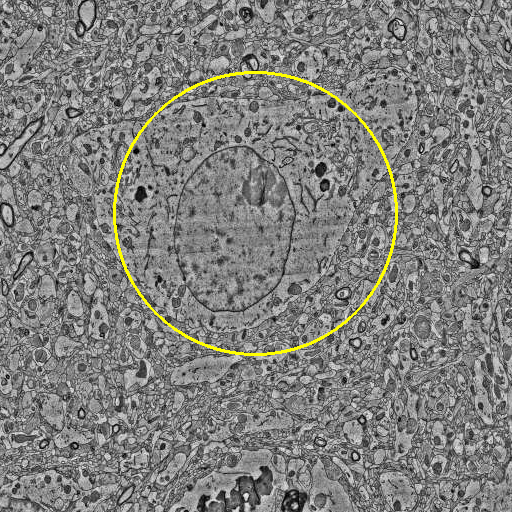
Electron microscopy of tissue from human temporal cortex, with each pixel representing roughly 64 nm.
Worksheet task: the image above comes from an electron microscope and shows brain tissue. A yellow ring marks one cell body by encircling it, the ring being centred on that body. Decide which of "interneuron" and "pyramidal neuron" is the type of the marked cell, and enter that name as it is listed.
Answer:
pyramidal neuron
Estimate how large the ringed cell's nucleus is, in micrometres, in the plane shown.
In this plane the nucleus spans approximately 11 by 8 micrometers.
